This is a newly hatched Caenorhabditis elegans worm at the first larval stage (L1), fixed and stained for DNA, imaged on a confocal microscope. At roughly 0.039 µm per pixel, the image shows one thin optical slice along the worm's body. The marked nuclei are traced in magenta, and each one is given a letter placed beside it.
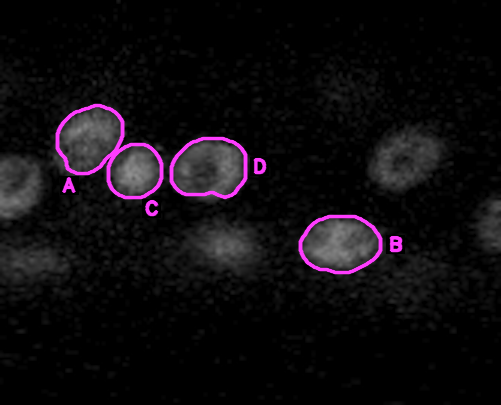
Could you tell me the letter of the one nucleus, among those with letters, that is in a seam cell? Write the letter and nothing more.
D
